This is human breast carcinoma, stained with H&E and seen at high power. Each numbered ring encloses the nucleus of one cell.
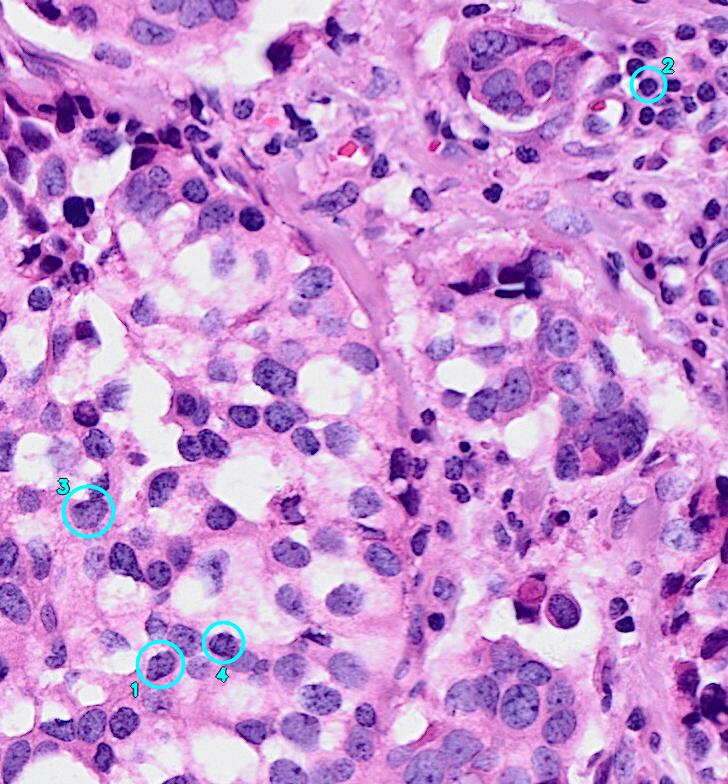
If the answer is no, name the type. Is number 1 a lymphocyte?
No, it is a carcinoma cell.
